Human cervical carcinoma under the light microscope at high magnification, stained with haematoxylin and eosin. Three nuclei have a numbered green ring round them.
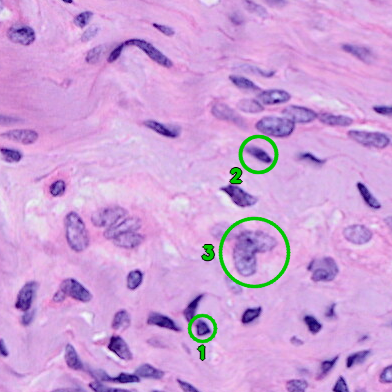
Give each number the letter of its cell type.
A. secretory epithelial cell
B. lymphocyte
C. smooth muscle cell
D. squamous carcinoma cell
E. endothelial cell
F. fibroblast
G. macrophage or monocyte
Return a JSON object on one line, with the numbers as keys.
{"1": "F", "2": "F", "3": "E"}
